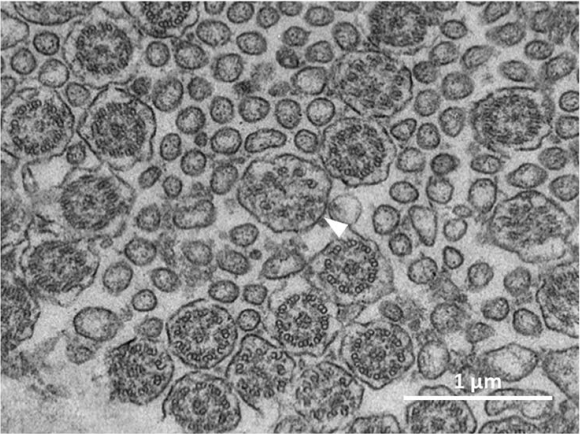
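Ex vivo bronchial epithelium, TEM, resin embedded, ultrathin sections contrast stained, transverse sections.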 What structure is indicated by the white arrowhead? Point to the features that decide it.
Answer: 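Many similar round profiles lie among smaller, simpler round profiles.
9 + 2 axoneme arrangement.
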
